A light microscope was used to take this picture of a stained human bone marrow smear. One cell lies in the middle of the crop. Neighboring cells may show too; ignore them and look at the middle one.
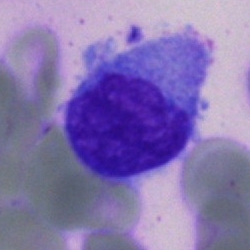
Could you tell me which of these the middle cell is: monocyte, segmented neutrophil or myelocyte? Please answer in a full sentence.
Positioned in the middle of the crop is a monocyte.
